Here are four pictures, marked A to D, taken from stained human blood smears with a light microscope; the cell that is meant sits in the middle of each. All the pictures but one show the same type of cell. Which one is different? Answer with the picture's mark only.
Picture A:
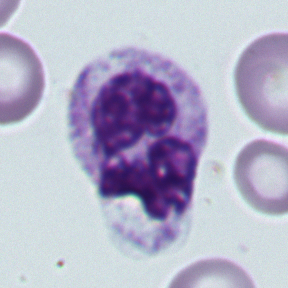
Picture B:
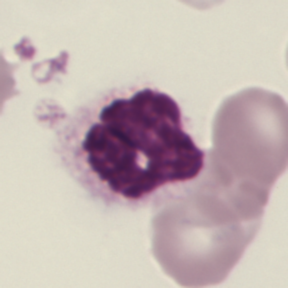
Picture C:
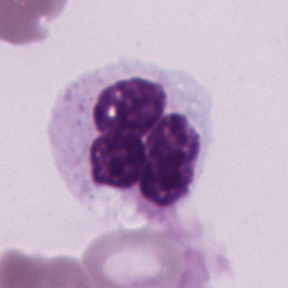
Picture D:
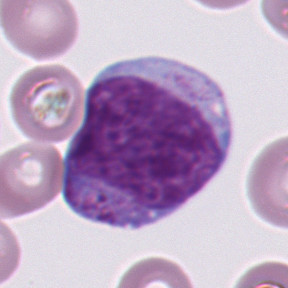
D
